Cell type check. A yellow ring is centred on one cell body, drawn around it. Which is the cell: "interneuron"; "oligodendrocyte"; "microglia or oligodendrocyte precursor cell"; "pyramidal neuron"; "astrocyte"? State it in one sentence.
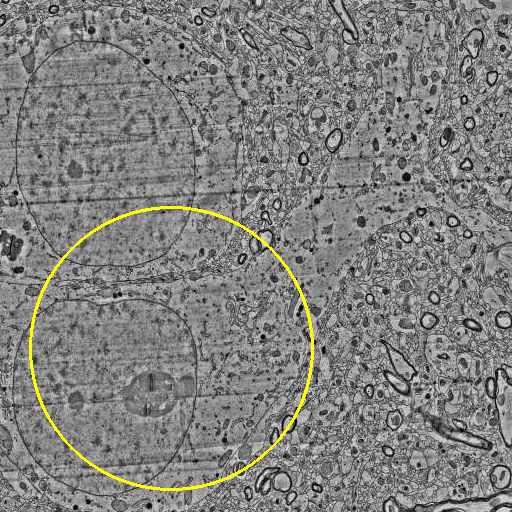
The cell body at the ring's centre belongs to a pyramidal neuron.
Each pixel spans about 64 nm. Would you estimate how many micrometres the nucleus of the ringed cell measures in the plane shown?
About 13 micrometres across in this plane, for the nucleus.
